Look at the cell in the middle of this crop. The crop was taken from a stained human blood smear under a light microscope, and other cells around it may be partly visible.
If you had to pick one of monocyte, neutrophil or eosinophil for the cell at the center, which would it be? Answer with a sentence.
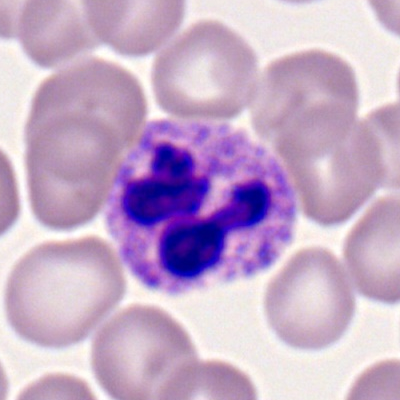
Of the cells in this crop, the central one is a neutrophil.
